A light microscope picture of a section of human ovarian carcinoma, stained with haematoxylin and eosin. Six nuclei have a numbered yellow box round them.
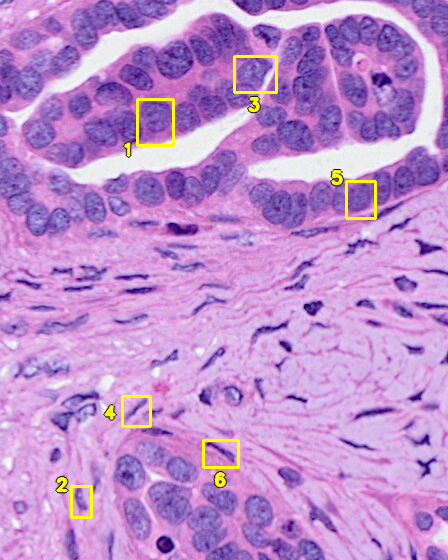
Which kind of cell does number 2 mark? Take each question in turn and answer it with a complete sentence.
Number 2 is placed on a fibroblast here.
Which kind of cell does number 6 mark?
The cell marked with number 6 is a fibroblast.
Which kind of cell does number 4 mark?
Among the marked nuclei, number 4 belongs to a fibroblast.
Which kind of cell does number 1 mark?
The cell that is numbered 1 is a carcinoma cell.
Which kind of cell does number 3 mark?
As for number 3, that cell is a carcinoma cell.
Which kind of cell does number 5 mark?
Heads up, the cell numbered 5 is a carcinoma cell.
